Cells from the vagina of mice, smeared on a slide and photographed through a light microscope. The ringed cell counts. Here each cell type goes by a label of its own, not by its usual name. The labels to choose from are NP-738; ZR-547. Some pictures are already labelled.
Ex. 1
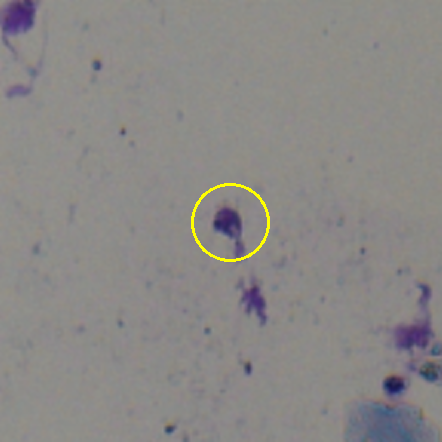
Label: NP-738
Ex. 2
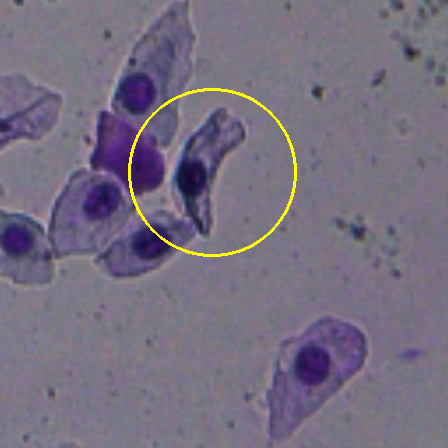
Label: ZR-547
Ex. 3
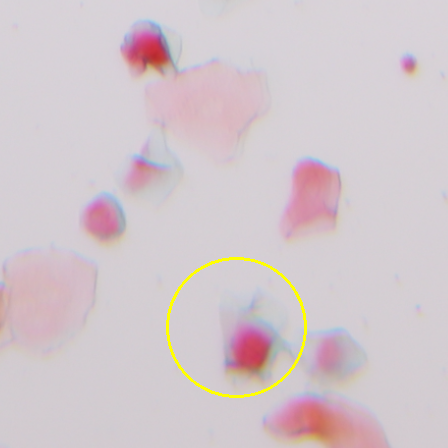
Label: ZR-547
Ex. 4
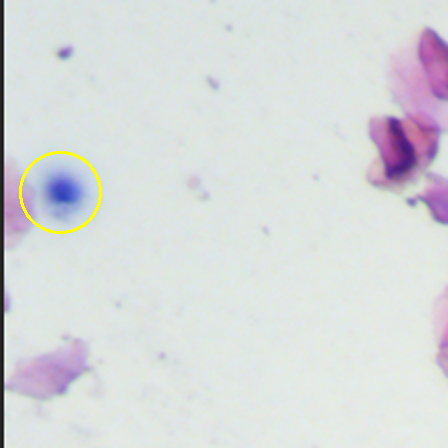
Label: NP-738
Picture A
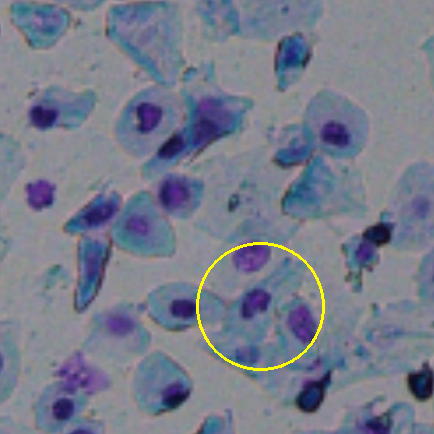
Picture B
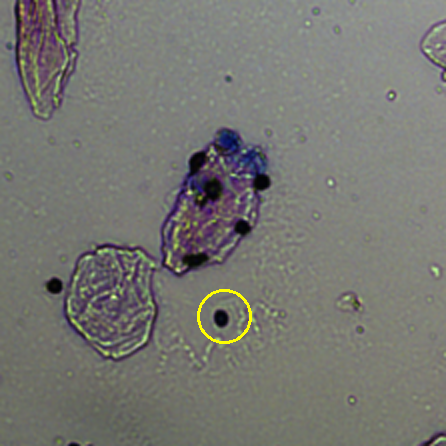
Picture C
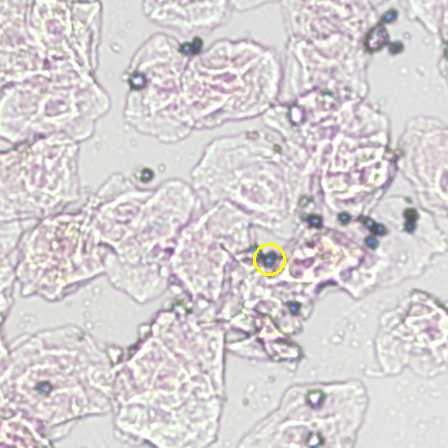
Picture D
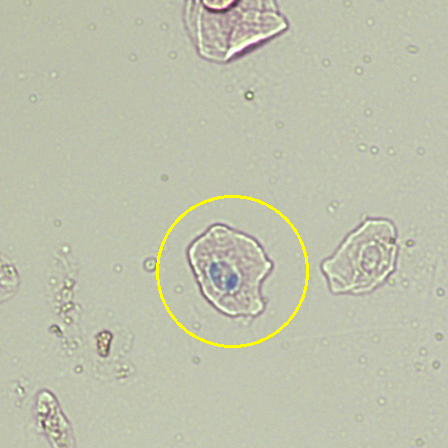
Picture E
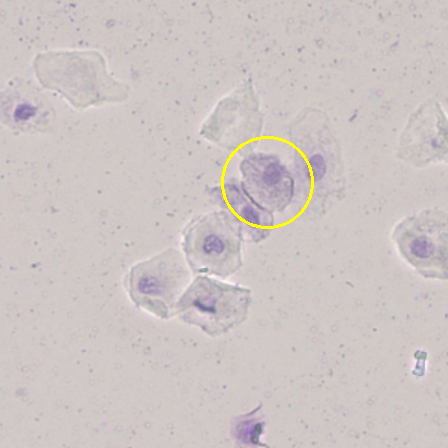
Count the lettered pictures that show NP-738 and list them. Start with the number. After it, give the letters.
2, namely B, C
